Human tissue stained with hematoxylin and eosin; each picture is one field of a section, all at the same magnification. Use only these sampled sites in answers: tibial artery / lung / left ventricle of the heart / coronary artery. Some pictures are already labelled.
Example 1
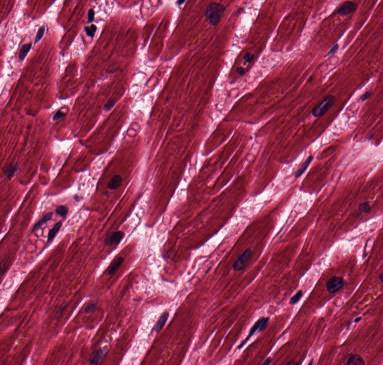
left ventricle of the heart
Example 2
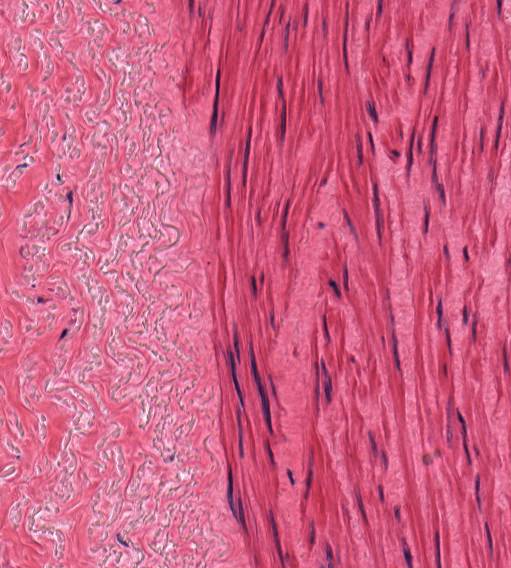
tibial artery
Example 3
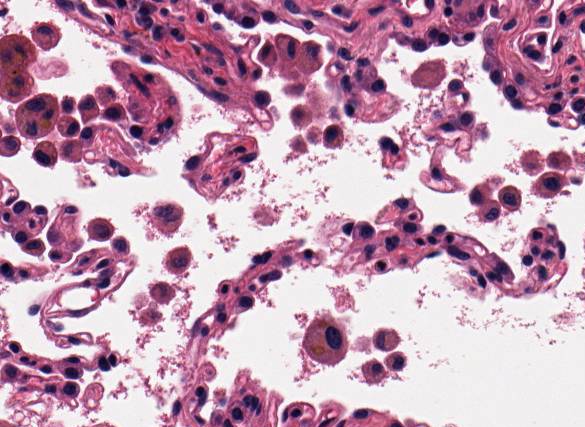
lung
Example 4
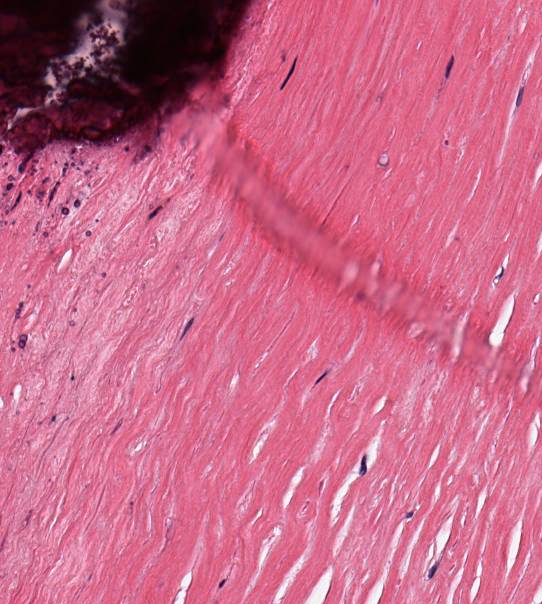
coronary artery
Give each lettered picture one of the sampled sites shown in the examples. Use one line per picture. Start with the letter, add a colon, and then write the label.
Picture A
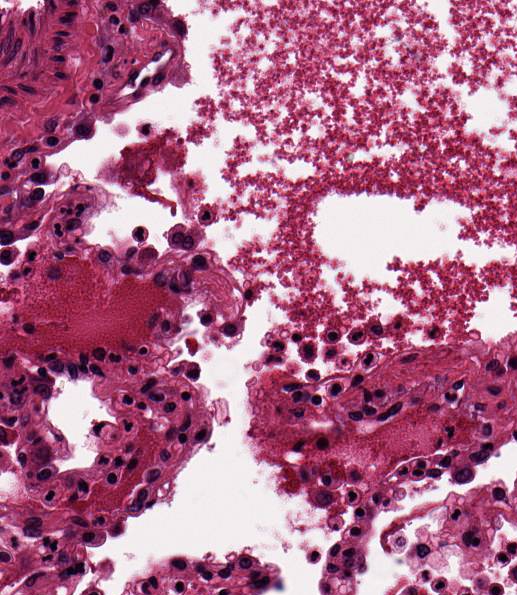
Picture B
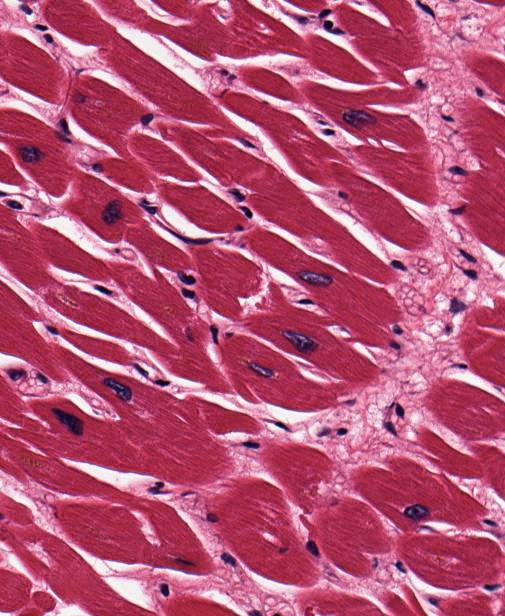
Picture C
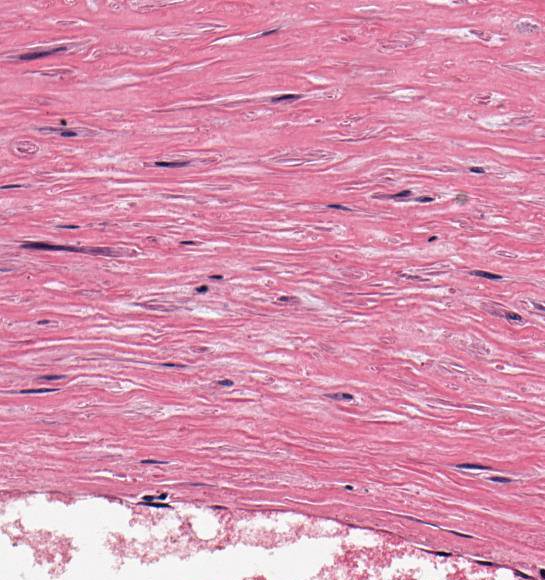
A: lung
B: left ventricle of the heart
C: coronary artery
